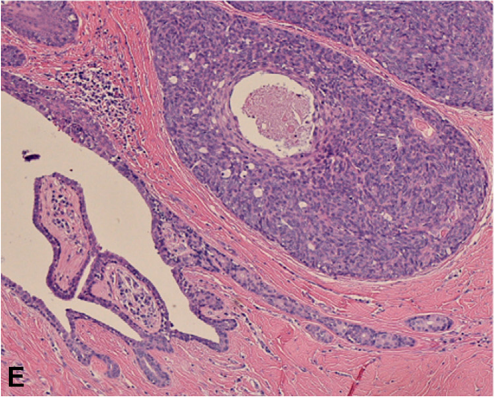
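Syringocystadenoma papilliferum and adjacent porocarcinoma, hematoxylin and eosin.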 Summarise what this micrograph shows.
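A large rounded nest of densely packed purple tumor cells sits in pink fibrous stroma, with a central space filled with pink granular necrotic debris and small scattered lumina. At the lower left, a space lined by a thin epithelium holds papillary fronds with stromal cores, and a cluster of inflammatory cells lies between the two.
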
